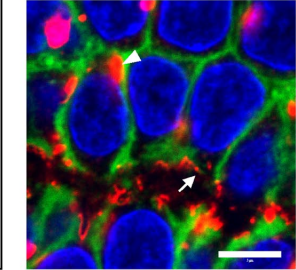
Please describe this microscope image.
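A thin rim of green outlines every cell along its surface, so the cells appear as a mosaic of adjoining compartments. Red deposits sit in patches at points where neighbouring cells meet, some as a compact bright spot at a cell border and others as a looser band of red dots in the gaps between cells. An arrow and an arrowhead are drawn on such red patches. The red lies at the cell surfaces rather than inside the nuclei.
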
